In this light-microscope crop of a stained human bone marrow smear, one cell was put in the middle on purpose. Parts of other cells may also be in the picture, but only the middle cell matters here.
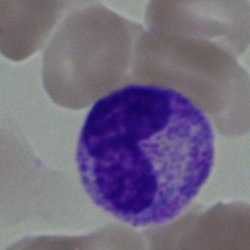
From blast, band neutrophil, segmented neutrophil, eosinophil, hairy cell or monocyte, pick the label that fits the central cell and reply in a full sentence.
This crop is built around a band neutrophil at its centre.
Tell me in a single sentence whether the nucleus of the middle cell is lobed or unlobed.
One compact mass makes up the whole nucleus, round, oval or kidney-shaped.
